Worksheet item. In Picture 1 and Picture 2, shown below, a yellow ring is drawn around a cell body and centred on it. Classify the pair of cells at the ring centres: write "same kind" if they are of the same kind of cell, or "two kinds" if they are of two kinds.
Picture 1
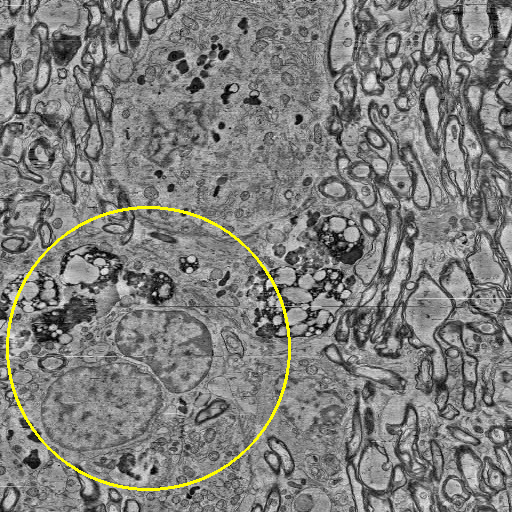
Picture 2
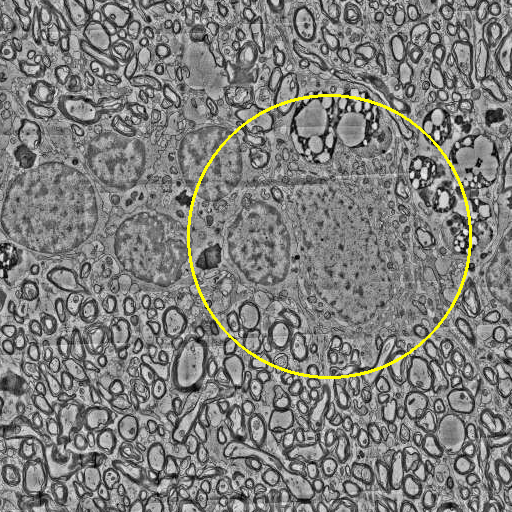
two kinds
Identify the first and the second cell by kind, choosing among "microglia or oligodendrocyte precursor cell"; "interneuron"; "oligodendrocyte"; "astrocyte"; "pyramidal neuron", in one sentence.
The one in the first picture is a microglial cell or oligodendrocyte precursor cell, while the one in the second is an astrocyte.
